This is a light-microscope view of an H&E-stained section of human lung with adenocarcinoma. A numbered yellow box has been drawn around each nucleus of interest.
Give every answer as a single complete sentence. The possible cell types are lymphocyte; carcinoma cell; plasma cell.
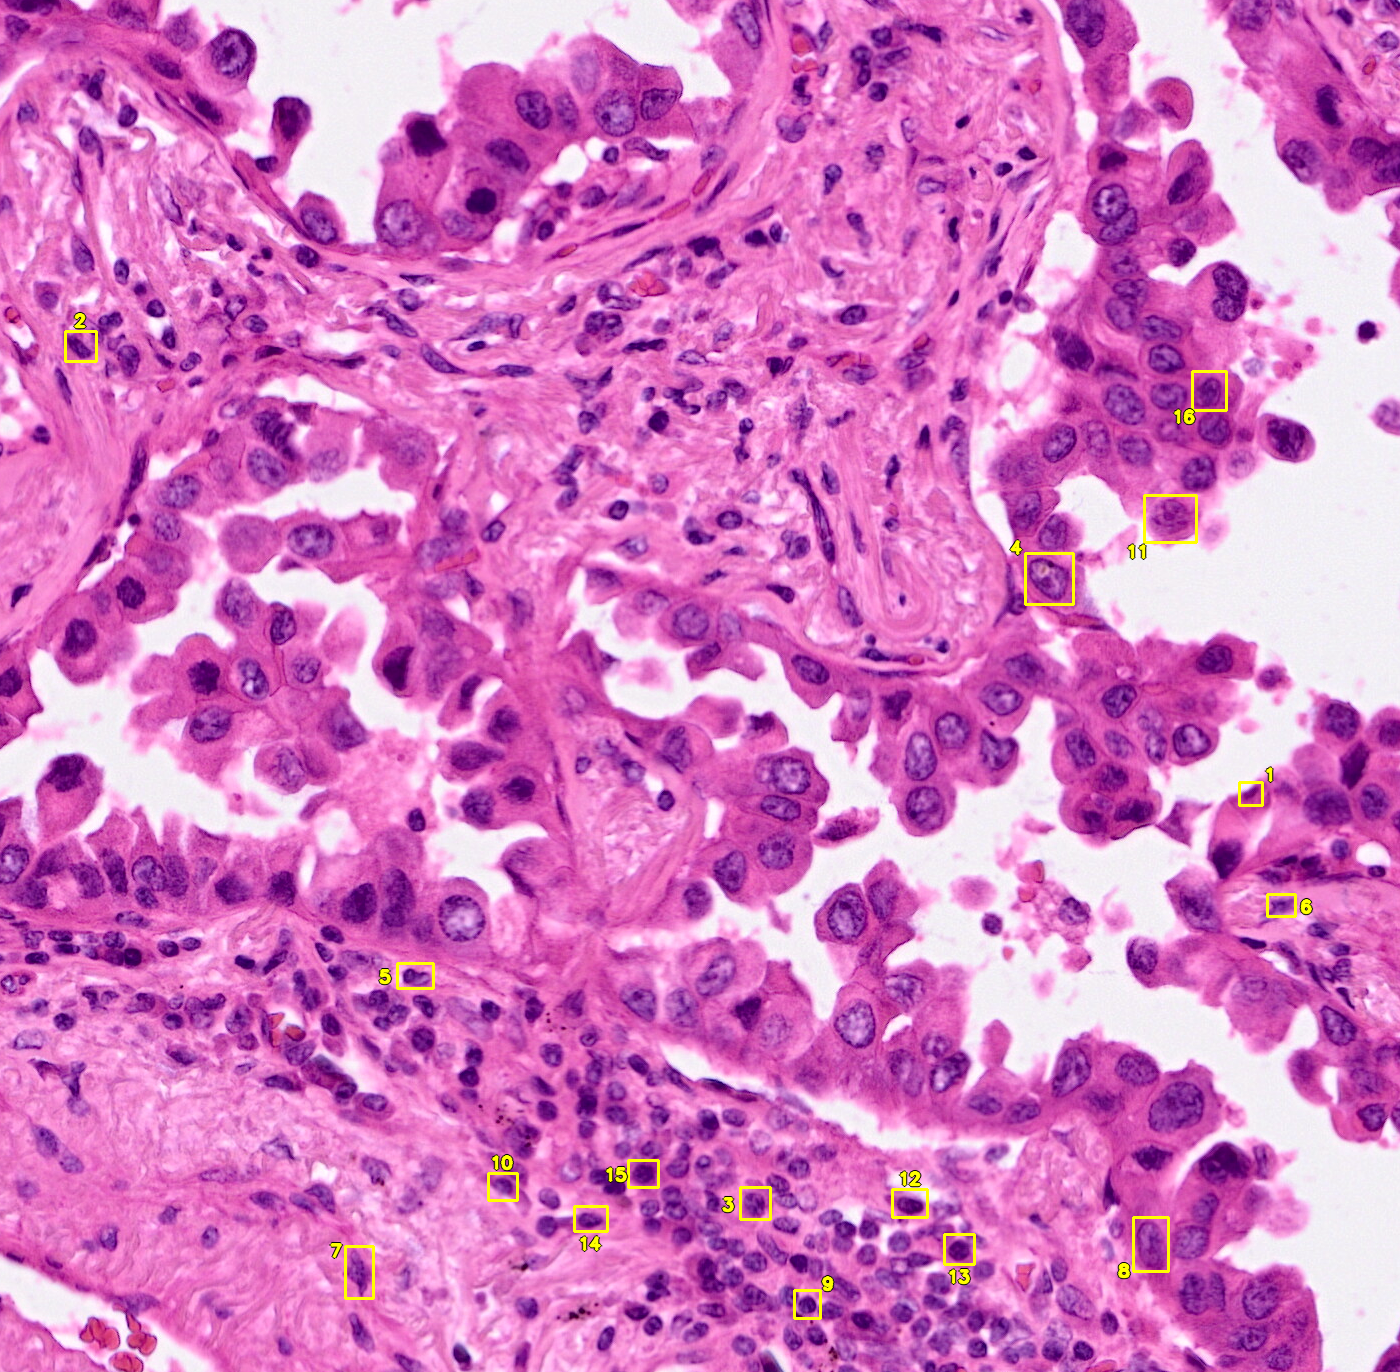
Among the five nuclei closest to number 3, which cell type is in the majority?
Lymphocytes account for more than half of the five nuclei nearest to number 3.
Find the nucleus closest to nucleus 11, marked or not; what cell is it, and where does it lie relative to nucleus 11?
The nearest one is a carcinoma cell, found above and to the right of nucleus 11.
